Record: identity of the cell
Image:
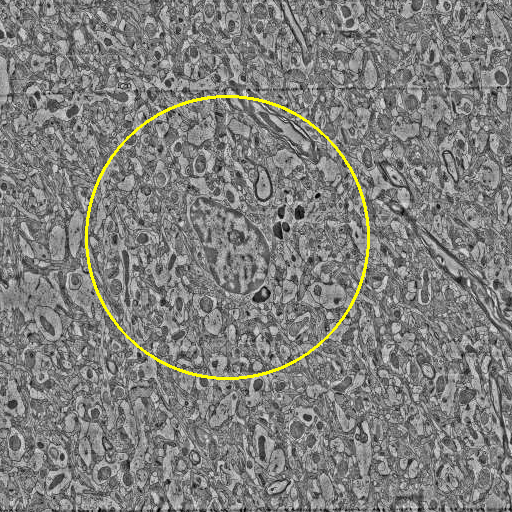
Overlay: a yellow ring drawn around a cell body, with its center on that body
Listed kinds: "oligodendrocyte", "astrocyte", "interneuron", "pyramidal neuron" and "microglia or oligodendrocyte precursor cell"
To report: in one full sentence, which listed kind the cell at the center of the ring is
In the image, the cell body at the ring's center belongs to a microglial cell or oligodendrocyte precursor cell.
